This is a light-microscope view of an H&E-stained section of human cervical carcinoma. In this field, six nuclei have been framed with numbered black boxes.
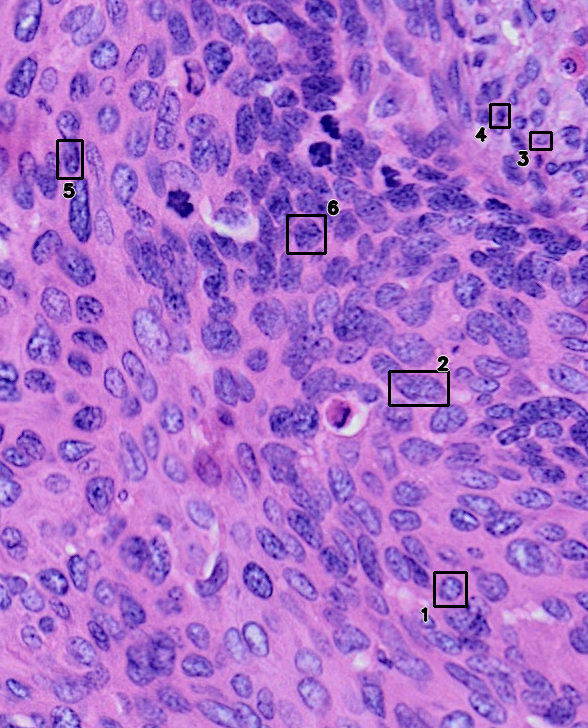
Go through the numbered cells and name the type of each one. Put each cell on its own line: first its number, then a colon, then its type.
1: squamous carcinoma cell
2: squamous carcinoma cell
3: smooth muscle cell
4: smooth muscle cell
5: squamous carcinoma cell
6: squamous carcinoma cell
